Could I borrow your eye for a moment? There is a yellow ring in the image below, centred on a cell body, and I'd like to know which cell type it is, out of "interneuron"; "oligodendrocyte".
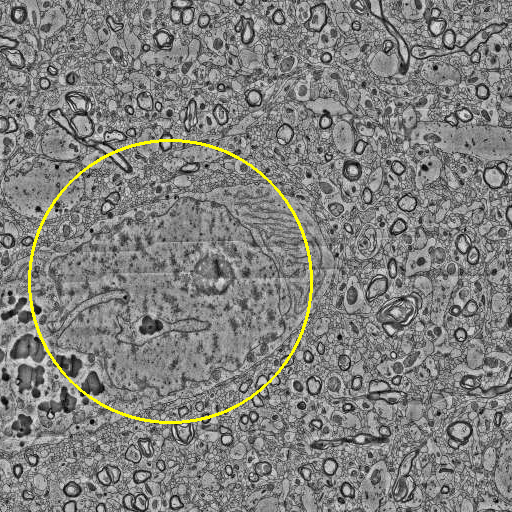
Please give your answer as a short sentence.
The cell body at the centre is that of an interneuron.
